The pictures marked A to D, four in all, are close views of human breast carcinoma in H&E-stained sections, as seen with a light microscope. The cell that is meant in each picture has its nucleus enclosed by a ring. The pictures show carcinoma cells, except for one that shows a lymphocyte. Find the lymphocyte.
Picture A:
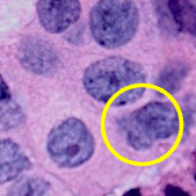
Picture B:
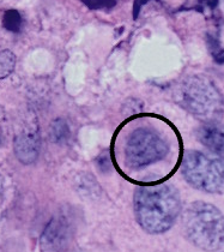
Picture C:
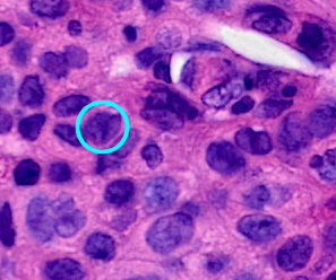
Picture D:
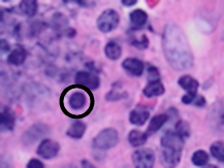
D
